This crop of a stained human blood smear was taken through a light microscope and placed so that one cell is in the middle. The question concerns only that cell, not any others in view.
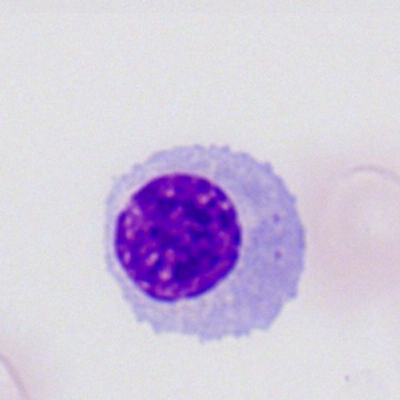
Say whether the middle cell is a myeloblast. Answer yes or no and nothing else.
no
